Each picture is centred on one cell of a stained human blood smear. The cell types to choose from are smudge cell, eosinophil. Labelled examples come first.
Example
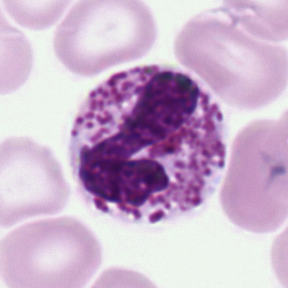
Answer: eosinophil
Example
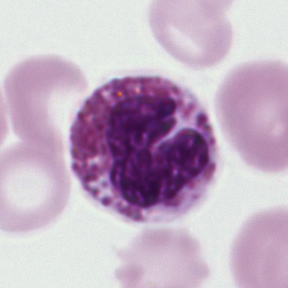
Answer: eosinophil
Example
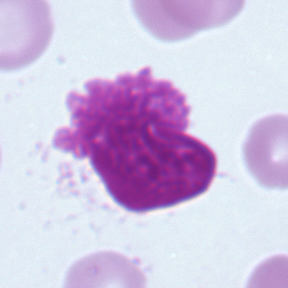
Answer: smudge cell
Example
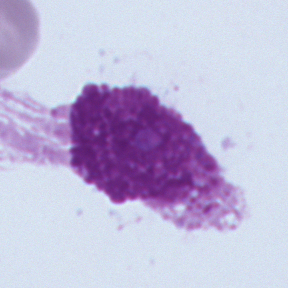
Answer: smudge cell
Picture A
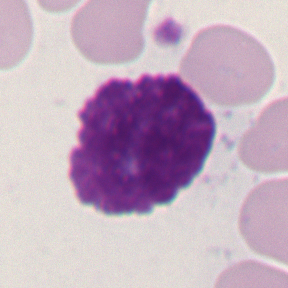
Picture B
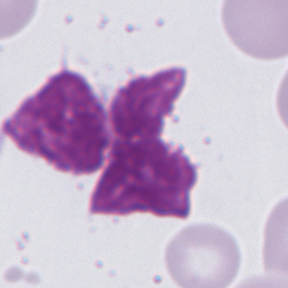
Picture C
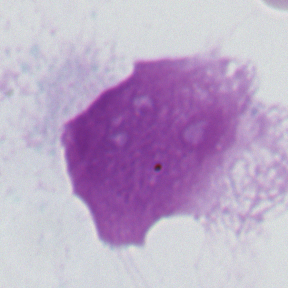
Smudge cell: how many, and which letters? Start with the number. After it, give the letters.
Count: 3 (A, B, C)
